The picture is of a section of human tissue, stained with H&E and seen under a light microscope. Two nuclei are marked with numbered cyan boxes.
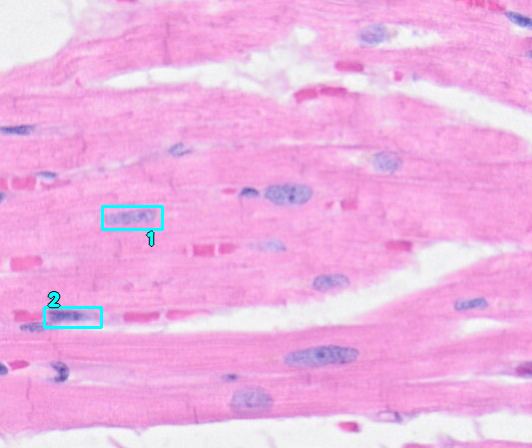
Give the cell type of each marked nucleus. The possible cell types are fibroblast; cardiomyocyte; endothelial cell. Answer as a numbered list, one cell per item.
1. cardiomyocyte
2. endothelial cell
